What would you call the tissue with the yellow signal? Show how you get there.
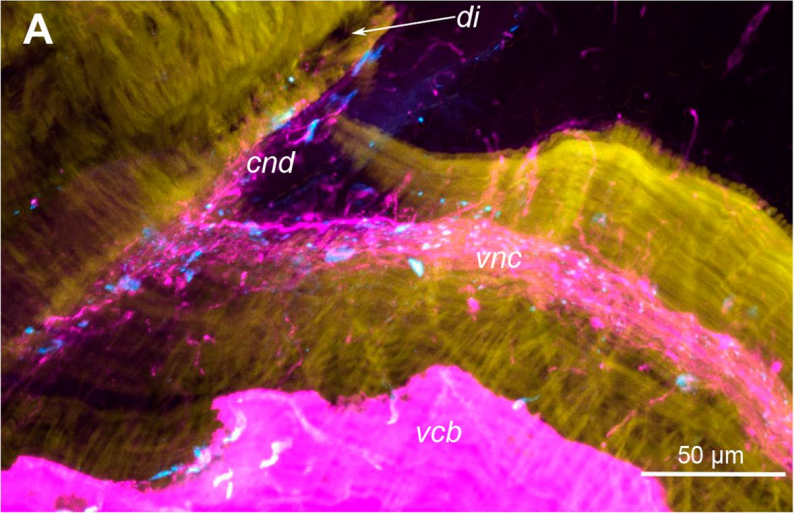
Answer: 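Muscles. The yellow signal forms broad bands of densely packed parallel fibres.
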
